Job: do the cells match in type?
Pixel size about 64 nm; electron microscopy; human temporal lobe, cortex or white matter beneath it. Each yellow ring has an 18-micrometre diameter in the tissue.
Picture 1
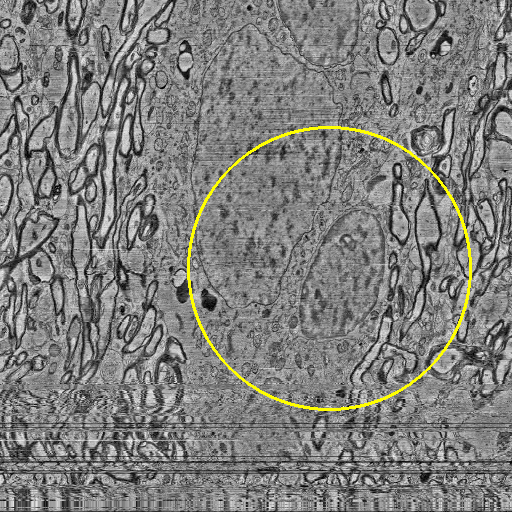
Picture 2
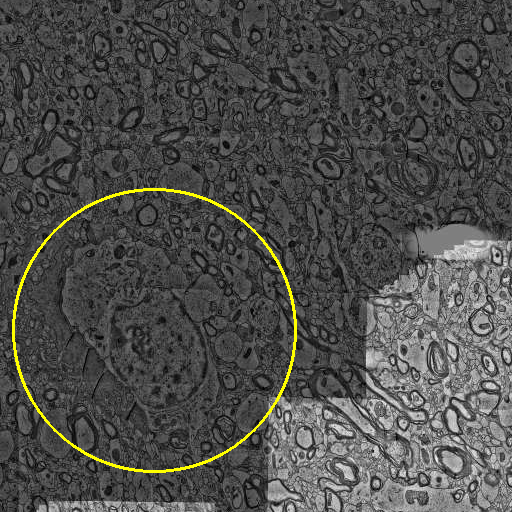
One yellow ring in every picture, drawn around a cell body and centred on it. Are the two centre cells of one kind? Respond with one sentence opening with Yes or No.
No, the ringed cells in the two pictures are of two separate kinds.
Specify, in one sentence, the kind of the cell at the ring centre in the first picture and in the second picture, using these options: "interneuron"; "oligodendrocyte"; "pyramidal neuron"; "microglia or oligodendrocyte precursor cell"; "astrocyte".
So the first is an oligodendrocyte, the second a microglial cell or oligodendrocyte precursor cell.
